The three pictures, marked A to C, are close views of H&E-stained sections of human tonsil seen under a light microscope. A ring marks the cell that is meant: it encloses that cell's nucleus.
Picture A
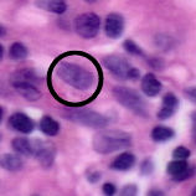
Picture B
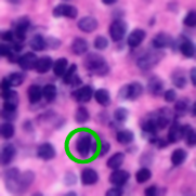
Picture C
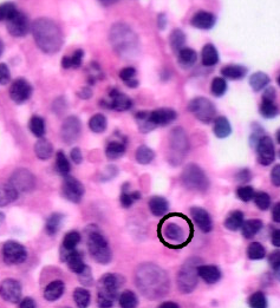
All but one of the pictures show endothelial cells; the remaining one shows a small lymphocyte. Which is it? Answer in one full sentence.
It is picture B that shows the small lymphocyte.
